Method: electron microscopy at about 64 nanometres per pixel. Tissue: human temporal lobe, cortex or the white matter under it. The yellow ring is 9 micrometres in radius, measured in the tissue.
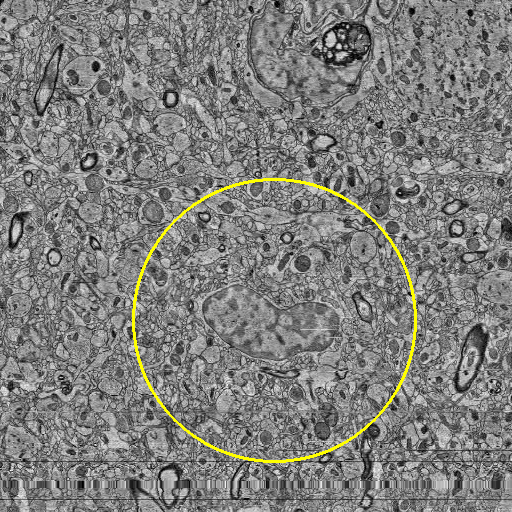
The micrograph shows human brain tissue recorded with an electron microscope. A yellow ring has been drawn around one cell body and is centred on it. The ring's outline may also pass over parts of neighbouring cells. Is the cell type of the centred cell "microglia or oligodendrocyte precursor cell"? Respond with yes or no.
yes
